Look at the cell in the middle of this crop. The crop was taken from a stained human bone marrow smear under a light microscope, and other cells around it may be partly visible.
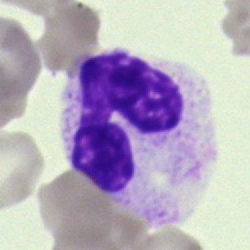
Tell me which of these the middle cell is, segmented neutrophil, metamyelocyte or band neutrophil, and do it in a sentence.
Standing at the centre of this crop is a segmented neutrophil.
